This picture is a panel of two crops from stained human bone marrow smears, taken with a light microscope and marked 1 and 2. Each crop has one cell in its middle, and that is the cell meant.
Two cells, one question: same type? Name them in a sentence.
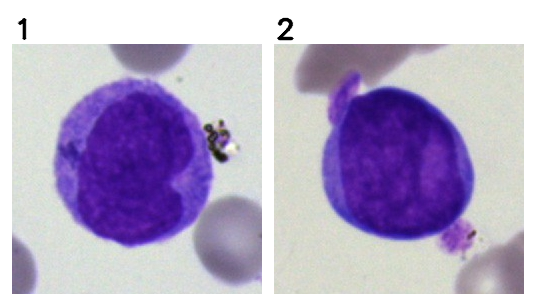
Yes, both of the crops show blasts.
